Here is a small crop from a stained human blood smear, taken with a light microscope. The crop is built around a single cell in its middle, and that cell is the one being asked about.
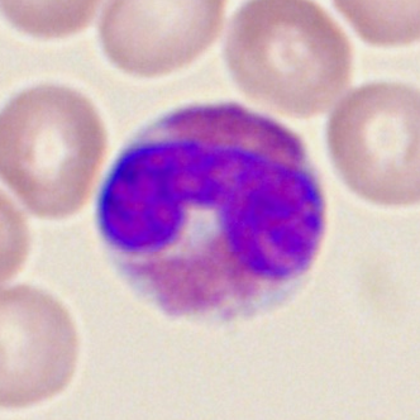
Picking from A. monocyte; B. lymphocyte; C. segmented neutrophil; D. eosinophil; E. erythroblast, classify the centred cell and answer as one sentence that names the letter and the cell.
The correct identification, given in option D, is that the central cell is an eosinophil.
